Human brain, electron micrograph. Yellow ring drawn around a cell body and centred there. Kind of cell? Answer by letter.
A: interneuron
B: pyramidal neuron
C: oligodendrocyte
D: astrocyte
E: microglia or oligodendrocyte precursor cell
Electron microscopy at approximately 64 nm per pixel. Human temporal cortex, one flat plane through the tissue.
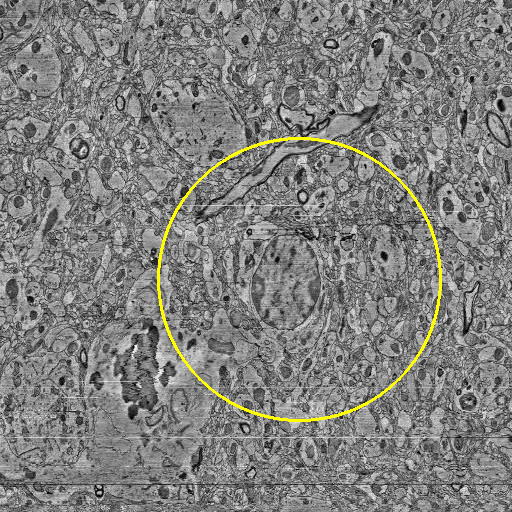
E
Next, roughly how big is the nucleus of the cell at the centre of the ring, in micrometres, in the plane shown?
About 7 by 4 micrometers in this plane, so the nucleus is clearly longer than it is wide.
